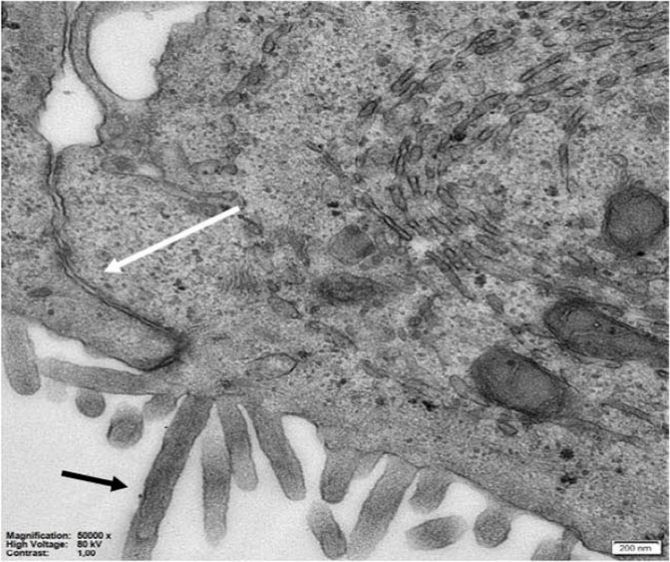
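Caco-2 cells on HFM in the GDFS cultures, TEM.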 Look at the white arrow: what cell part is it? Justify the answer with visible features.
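The white arrow points to where the plasma membranes of two neighbouring cells run closely side by side. The apposed membranes appear as a dense, dark line between the two cells. The answer: tight junctions.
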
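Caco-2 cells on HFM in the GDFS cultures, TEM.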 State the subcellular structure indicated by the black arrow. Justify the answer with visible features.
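Microvilli. The black arrow points to slender finger-like projections of the cell surface extending into the empty space. The projections are of uniform width and appear in both long and cross section.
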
